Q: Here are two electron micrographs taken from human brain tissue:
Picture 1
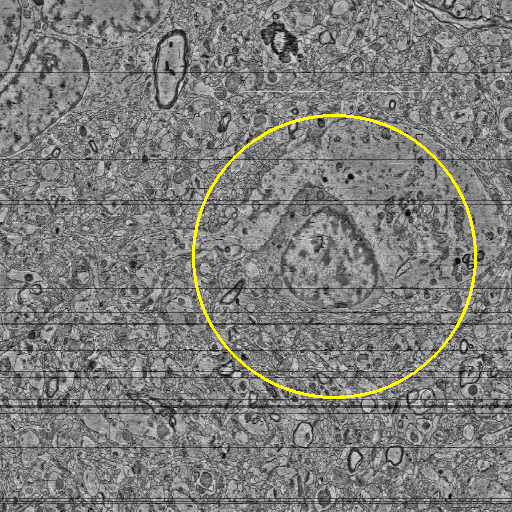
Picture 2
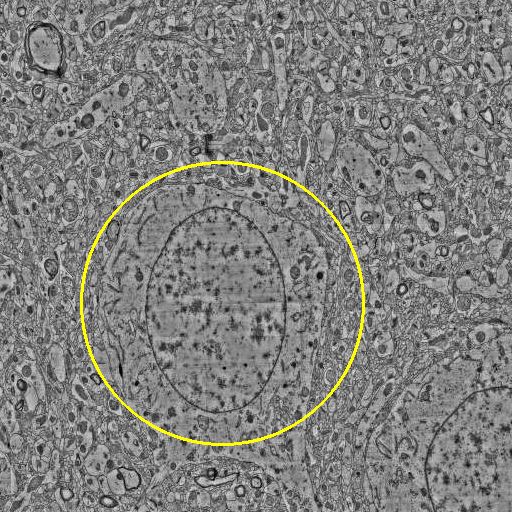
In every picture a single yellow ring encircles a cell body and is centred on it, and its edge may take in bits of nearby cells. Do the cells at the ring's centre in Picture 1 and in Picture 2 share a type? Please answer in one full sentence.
No, the cells at the ring's centre in Picture 1 and Picture 2 are of two types.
